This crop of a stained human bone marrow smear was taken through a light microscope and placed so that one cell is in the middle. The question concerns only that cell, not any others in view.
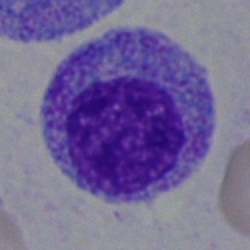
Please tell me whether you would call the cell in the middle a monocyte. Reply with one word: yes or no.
no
